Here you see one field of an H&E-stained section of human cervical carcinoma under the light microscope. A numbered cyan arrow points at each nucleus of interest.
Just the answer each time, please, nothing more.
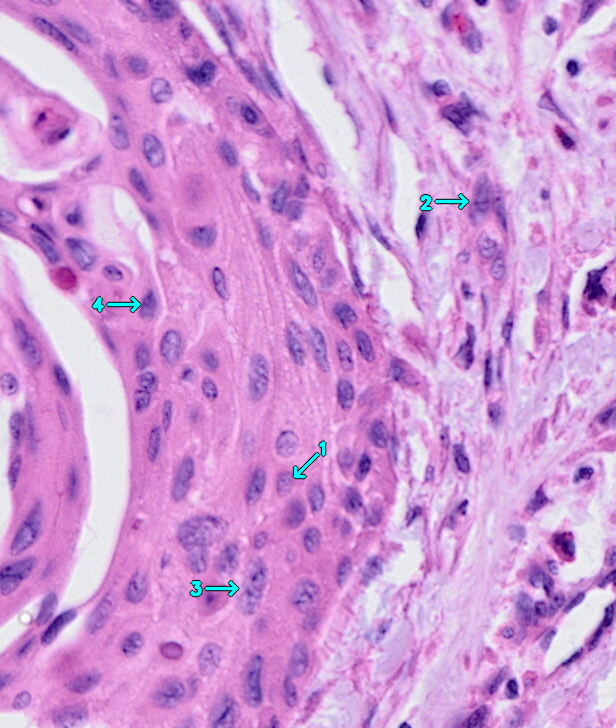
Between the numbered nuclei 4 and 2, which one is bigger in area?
2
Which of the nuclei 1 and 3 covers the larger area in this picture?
3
